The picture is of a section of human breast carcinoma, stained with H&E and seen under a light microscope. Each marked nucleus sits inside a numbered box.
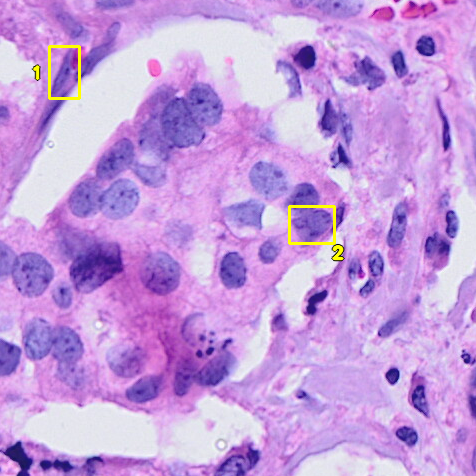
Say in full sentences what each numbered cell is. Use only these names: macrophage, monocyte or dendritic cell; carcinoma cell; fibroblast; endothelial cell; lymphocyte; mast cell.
Cell 1 is an endothelial cell and cell 2 is a carcinoma cell.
